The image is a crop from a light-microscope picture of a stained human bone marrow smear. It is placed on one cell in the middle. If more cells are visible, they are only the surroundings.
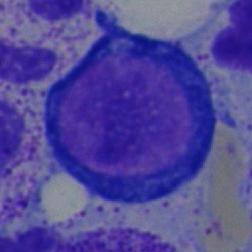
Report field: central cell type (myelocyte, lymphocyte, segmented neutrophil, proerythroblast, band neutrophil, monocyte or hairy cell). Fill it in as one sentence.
As for the cell in the middle, it is a proerythroblast.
